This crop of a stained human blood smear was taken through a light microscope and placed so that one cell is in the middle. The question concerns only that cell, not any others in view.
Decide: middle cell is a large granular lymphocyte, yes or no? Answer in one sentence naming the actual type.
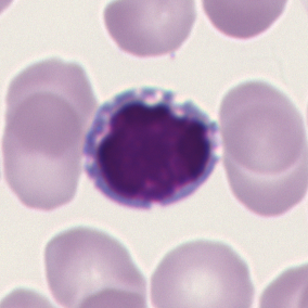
No, the centrally placed cell is a typical lymphocyte, not a large granular lymphocyte.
